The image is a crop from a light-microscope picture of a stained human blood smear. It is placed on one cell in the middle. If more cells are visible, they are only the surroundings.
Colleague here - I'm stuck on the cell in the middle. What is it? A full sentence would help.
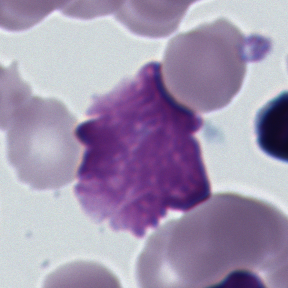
The cell found in the middle of this crop is a smudge cell.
